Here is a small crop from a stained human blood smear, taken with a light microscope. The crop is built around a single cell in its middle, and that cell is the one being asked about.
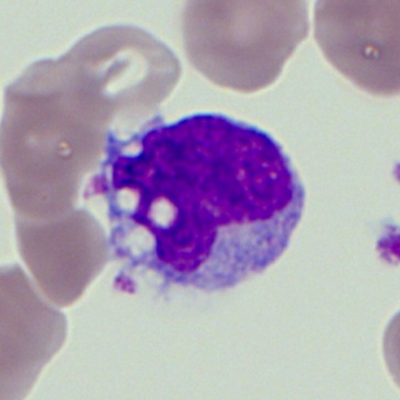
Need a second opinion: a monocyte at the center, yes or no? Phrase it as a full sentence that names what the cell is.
Yes, this central cell is a monocyte.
